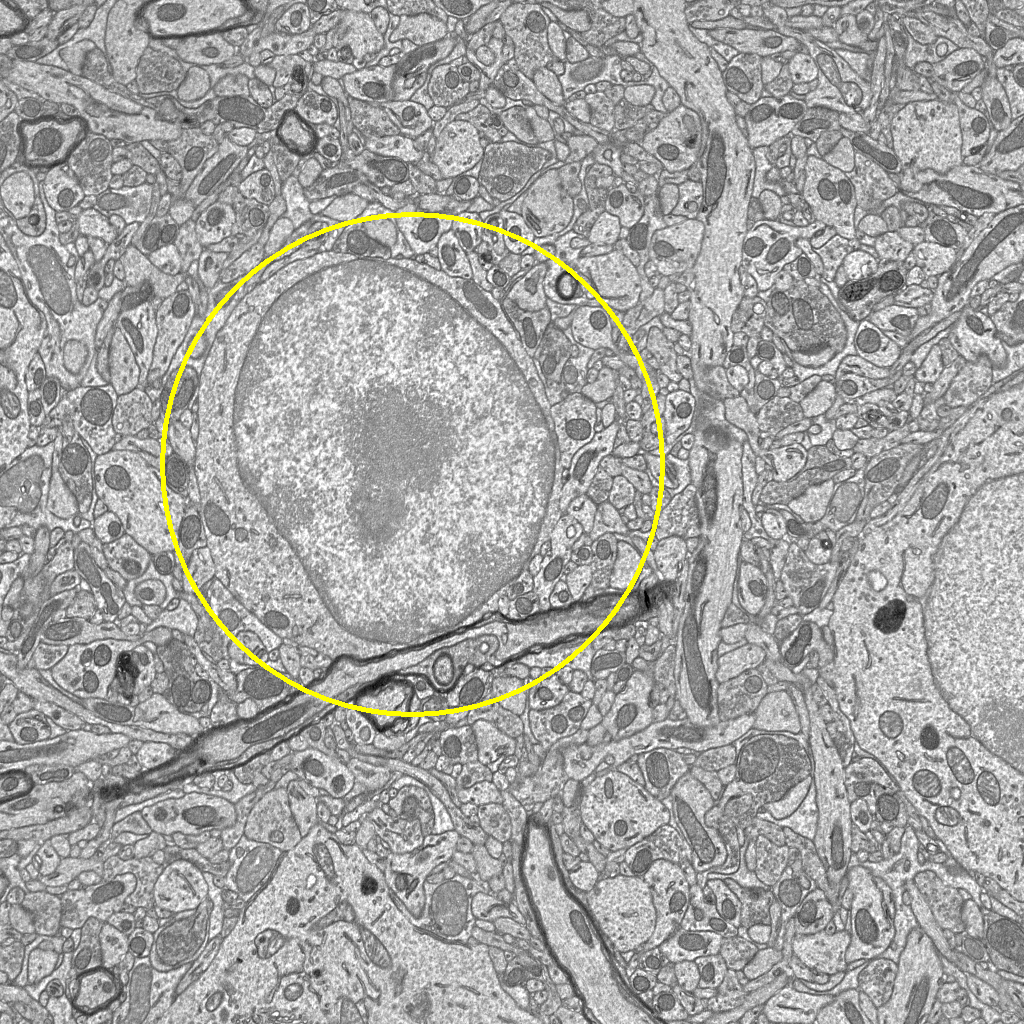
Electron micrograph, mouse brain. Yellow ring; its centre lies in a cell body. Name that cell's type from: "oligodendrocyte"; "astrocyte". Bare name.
oligodendrocyte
